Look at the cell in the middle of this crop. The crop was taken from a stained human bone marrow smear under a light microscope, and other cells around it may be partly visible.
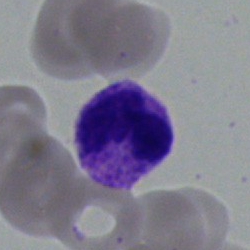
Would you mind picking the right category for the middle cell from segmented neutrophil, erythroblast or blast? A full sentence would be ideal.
What sits at the centre of this crop is a segmented neutrophil.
